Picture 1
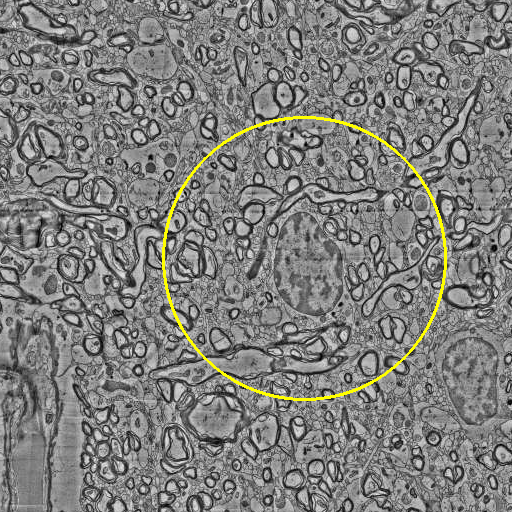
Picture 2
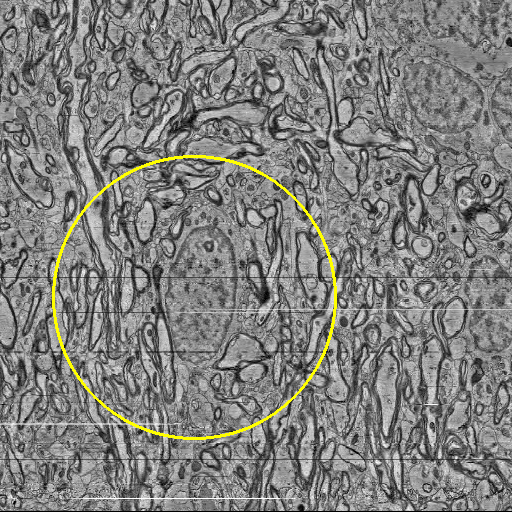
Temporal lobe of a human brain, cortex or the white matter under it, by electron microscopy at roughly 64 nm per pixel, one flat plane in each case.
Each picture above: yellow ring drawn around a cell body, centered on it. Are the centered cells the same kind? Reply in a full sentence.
No, the two cells are two kinds of cell.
